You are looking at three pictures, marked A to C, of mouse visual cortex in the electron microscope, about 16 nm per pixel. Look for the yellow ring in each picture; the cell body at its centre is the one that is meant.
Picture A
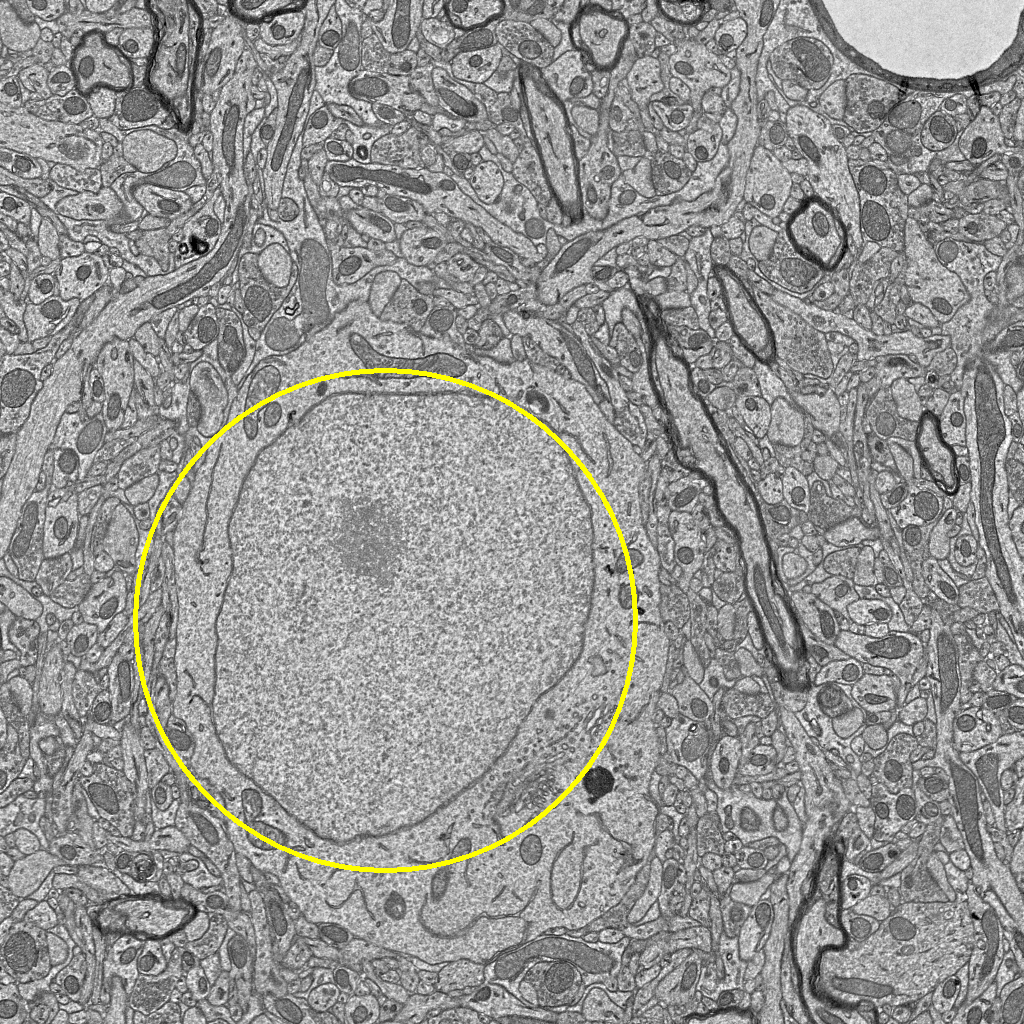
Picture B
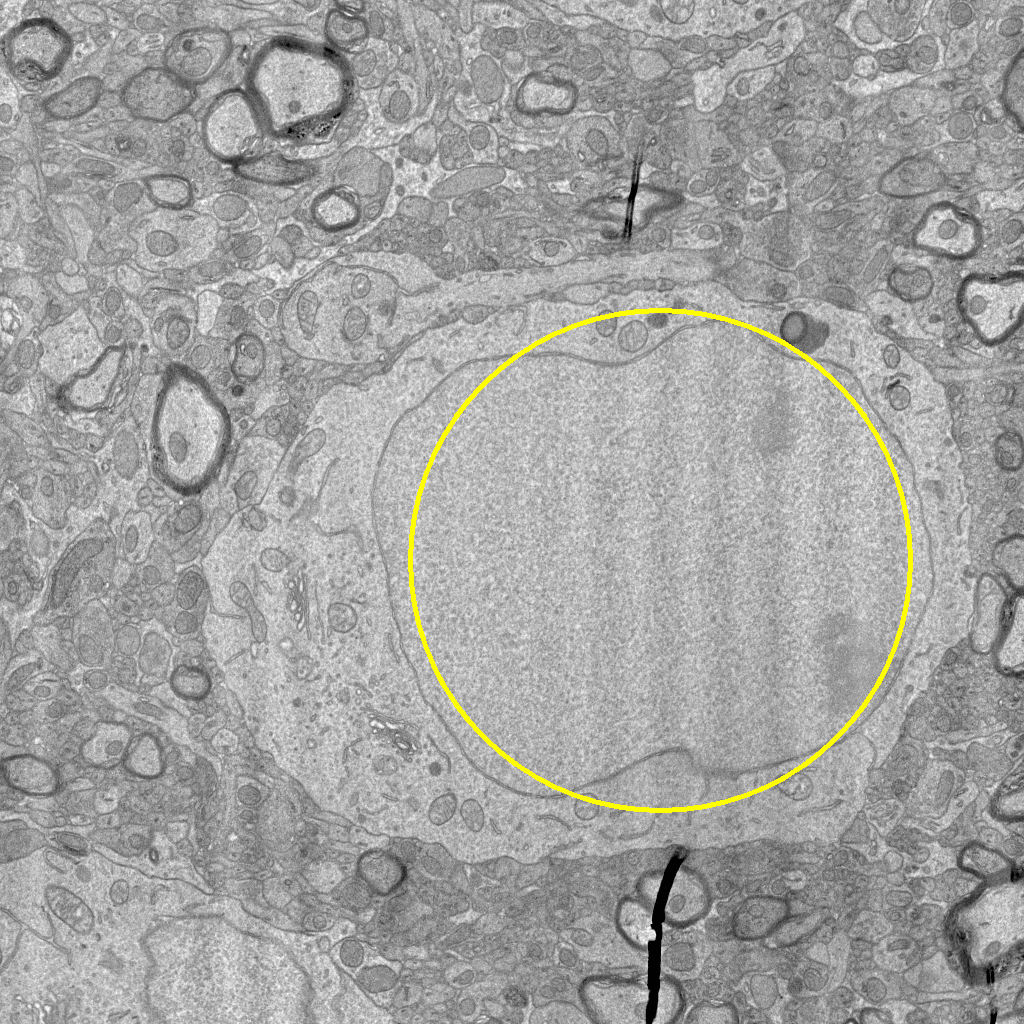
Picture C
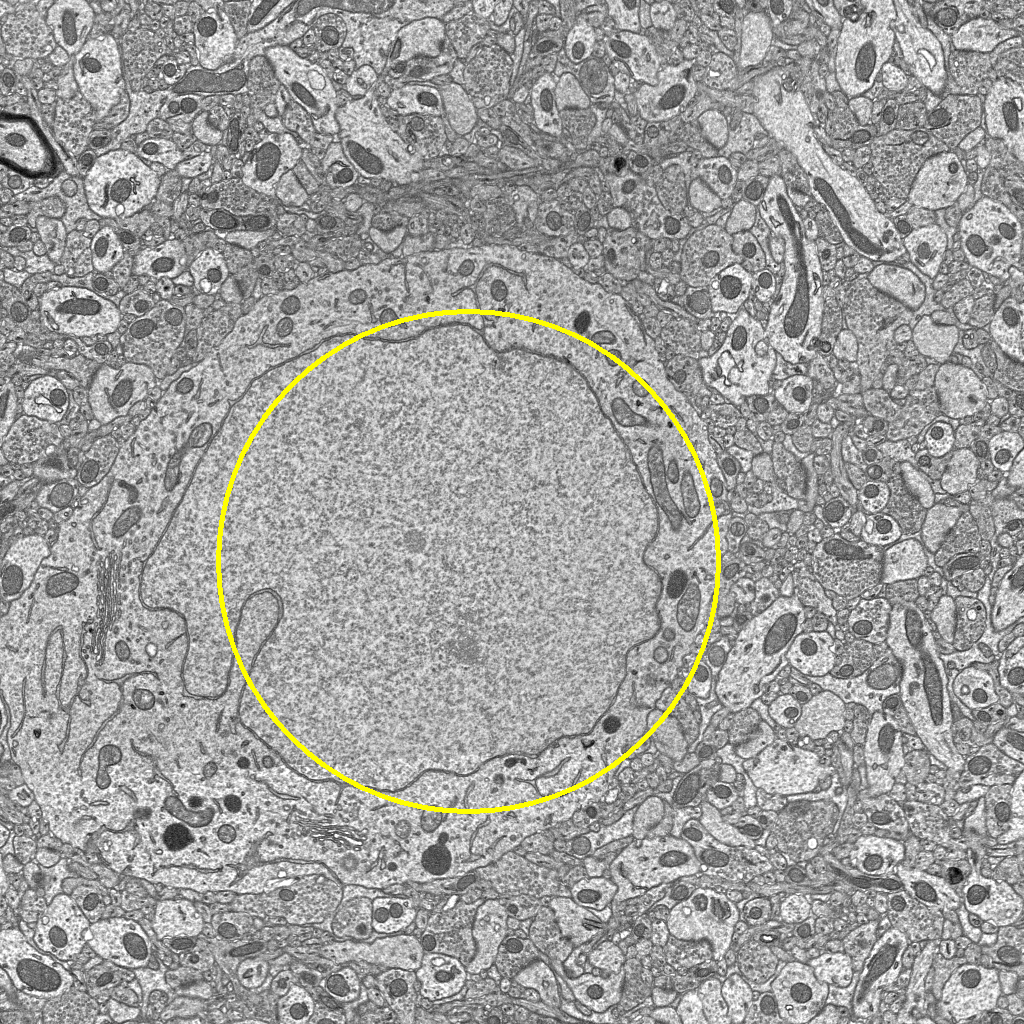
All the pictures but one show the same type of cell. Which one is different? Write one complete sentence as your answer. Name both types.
All pictures except C show excitatory neurons; picture C shows an inhibitory neuron.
